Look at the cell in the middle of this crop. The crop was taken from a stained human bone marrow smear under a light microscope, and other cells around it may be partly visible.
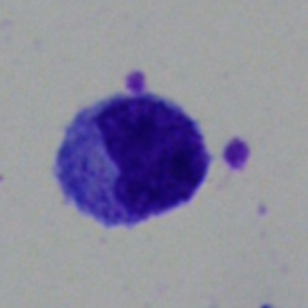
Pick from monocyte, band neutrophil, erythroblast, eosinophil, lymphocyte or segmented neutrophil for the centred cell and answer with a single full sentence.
The centrally positioned cell in the crop represents a lymphocyte.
